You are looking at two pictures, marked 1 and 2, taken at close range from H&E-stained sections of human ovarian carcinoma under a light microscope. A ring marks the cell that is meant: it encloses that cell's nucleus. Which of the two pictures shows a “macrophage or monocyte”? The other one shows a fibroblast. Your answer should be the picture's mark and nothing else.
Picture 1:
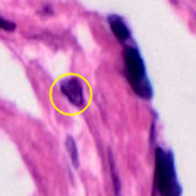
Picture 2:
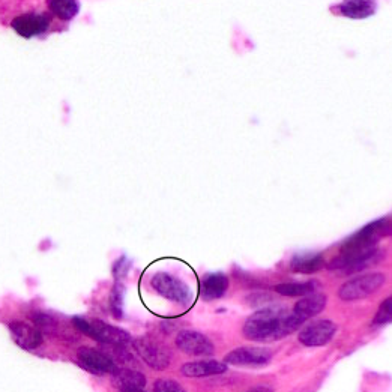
2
